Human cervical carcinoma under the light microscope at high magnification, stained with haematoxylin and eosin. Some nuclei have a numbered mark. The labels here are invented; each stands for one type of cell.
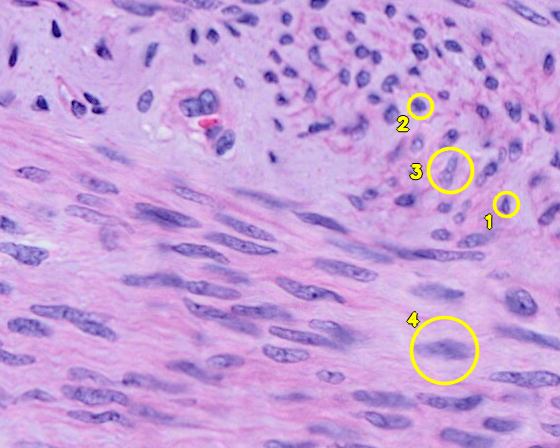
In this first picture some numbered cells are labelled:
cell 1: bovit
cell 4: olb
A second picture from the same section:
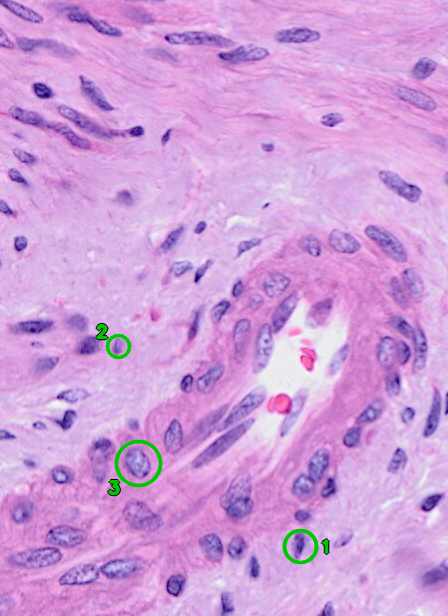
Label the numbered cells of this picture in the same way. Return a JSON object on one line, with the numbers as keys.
{"1": "olb", "2": "olb", "3": "bovit"}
